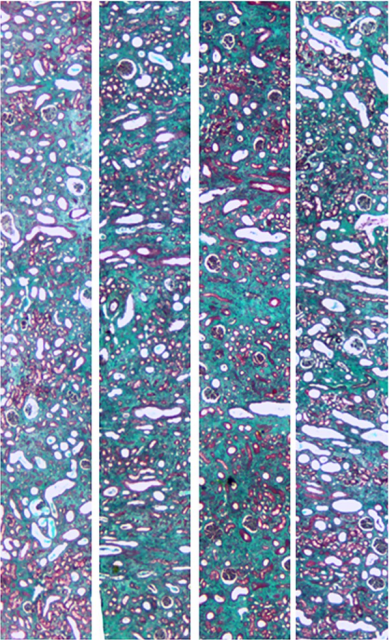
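These are strips of kidney cortex in which round glomeruli and many tubules in cross and longitudinal section are visible, with much of the tissue between them taken up by blue-green stained matrix. Many tubules are dilated with empty white lumens, while the red-pink stained tubular epithelium is thin and scattered.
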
